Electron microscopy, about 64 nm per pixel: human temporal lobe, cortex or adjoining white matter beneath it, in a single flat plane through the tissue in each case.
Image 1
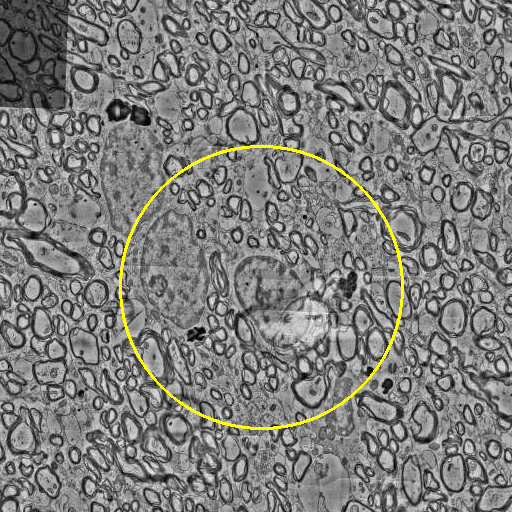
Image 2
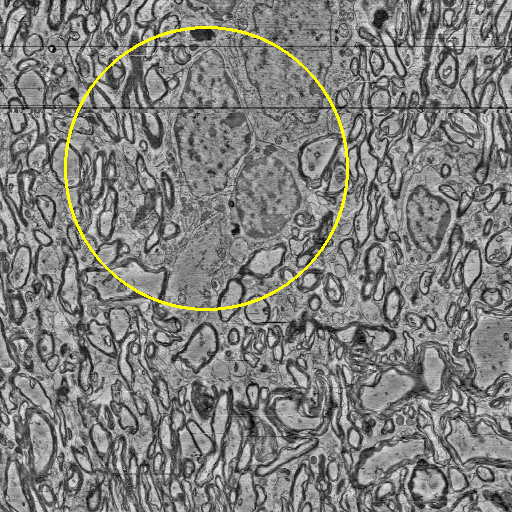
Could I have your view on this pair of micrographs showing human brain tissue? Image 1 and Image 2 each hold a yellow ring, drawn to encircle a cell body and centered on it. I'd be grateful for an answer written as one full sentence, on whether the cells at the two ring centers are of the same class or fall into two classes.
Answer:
The cells at the centers of the two rings are of the same class.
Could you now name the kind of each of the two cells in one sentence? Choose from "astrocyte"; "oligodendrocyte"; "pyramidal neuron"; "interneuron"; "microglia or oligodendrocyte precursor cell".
In each of the two pictures, the ringed cell is a microglial cell or oligodendrocyte precursor cell.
